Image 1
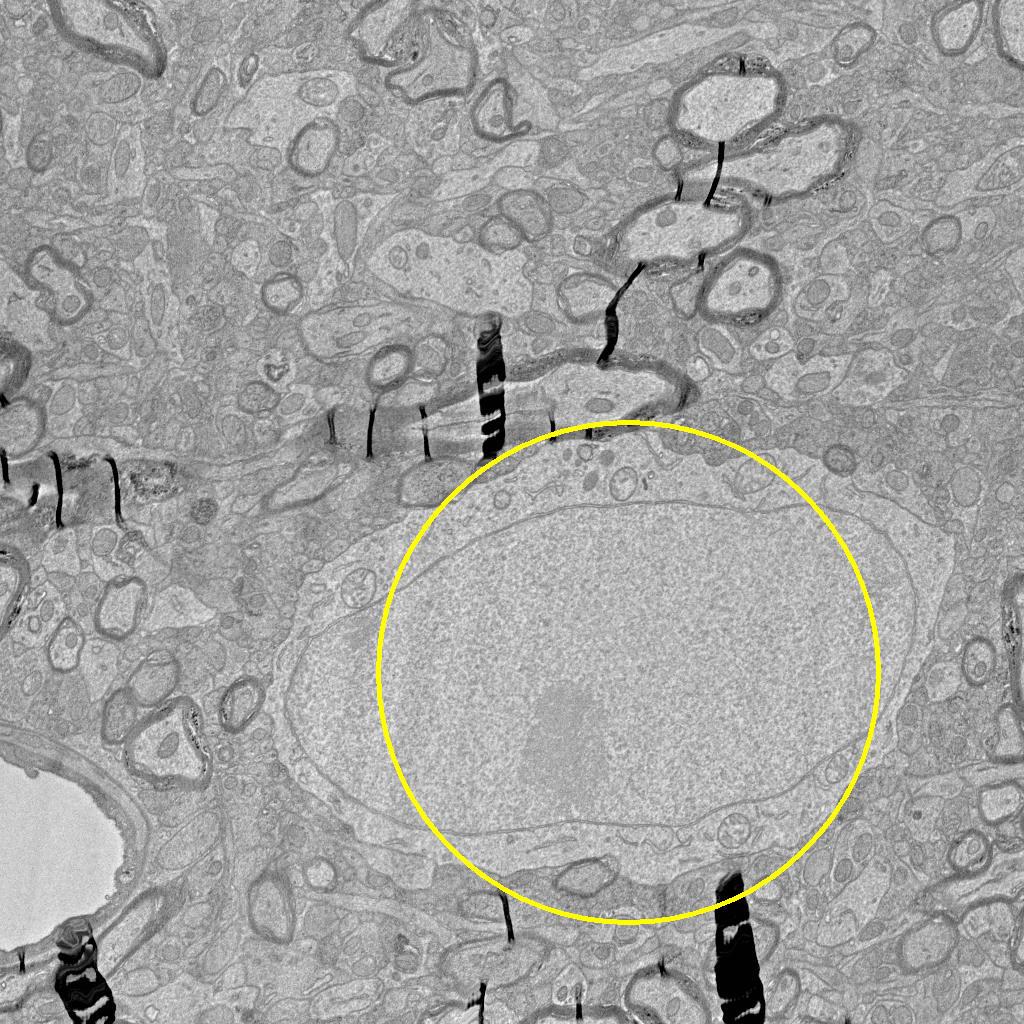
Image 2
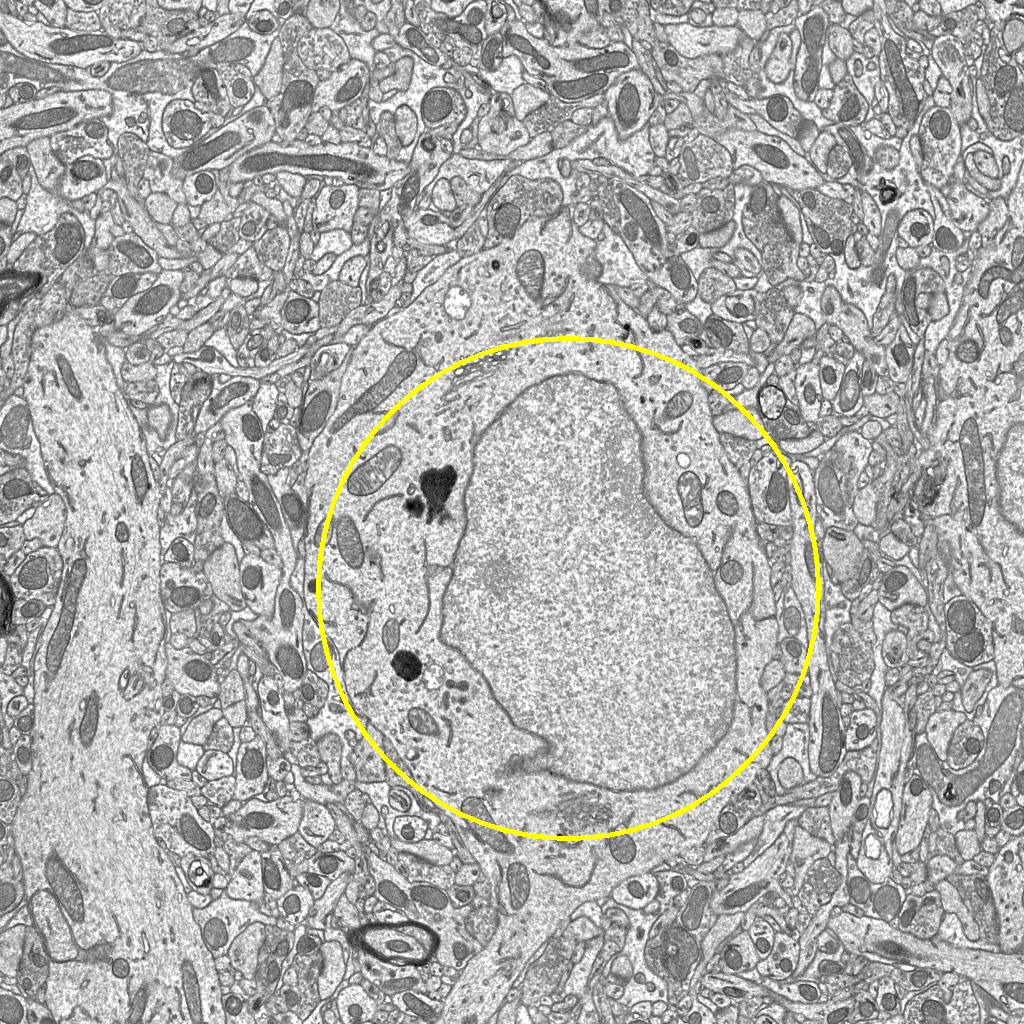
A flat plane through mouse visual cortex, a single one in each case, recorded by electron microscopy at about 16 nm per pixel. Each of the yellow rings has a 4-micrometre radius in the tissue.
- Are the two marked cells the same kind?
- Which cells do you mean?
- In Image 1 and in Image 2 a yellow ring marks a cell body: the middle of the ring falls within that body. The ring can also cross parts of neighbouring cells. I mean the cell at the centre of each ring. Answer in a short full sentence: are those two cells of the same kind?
Yes, both cells are of the same kind.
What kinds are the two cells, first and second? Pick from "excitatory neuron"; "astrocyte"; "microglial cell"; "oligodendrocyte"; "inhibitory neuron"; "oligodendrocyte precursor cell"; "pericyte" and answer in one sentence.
Each cell, in the first picture and the second, is an excitatory neuron.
